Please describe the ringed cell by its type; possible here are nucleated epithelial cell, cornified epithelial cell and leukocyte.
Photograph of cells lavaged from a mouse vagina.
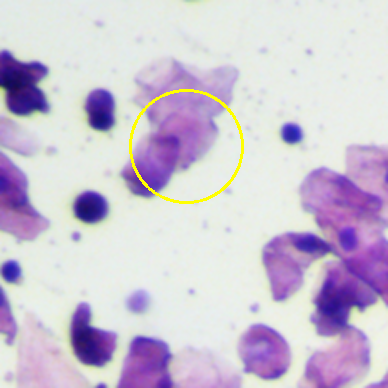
The yellow ring marks a cornified epithelial cell.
